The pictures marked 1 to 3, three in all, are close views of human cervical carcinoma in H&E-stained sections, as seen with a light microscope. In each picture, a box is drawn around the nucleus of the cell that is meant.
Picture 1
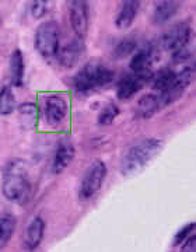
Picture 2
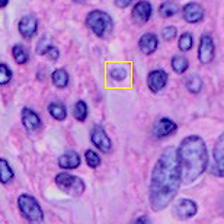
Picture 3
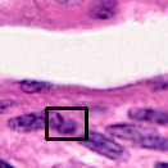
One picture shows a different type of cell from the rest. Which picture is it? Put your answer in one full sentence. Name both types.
Picture 2 differs, because its cell is a smooth muscle cell and the rest are squamous carcinoma cells.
